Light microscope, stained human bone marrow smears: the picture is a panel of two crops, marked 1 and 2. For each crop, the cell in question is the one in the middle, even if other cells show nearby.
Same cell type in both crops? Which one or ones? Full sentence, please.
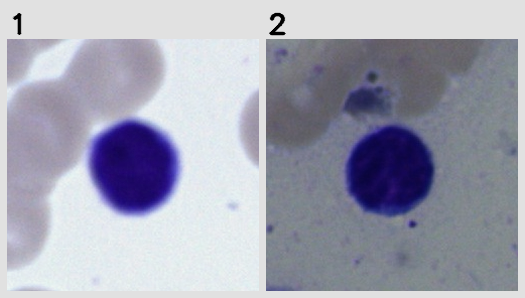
Yes, the central cells, in both crops, are lymphocytes.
